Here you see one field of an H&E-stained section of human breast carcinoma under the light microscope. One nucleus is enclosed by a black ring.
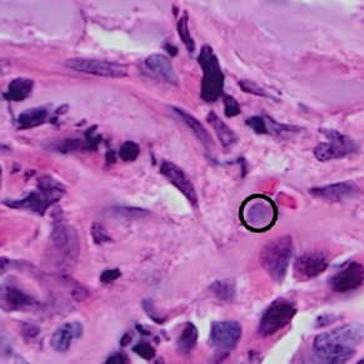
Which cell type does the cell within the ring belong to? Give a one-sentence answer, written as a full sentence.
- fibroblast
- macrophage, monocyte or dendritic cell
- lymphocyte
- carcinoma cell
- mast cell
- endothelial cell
The correct response here is that the cell within the ring is an endothelial cell.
